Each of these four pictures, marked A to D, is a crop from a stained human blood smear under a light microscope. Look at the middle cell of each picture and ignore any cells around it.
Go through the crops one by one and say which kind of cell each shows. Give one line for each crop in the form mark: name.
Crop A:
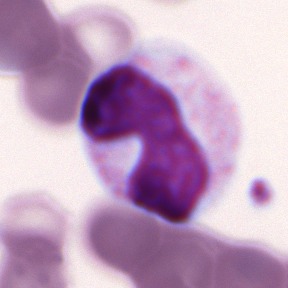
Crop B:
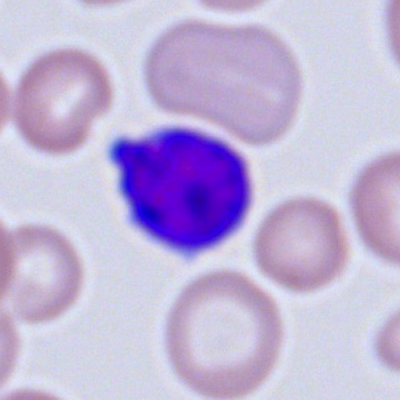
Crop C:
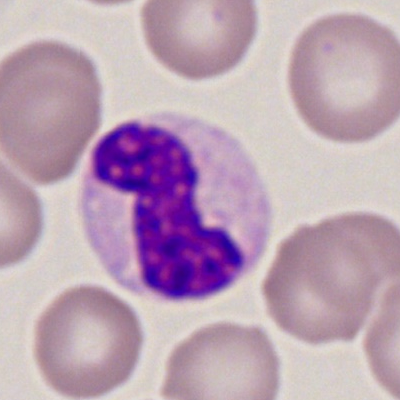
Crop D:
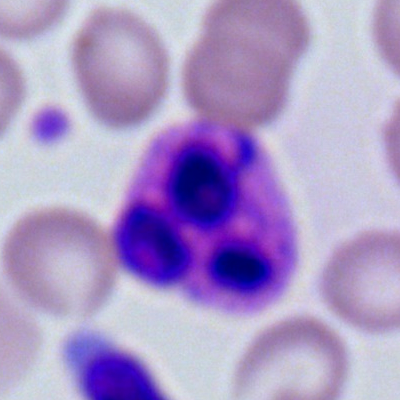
A: band neutrophil
B: lymphocyte
C: band neutrophil
D: basophil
